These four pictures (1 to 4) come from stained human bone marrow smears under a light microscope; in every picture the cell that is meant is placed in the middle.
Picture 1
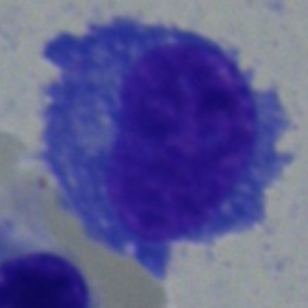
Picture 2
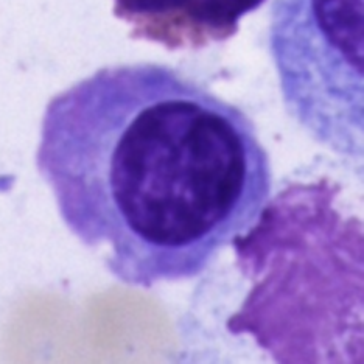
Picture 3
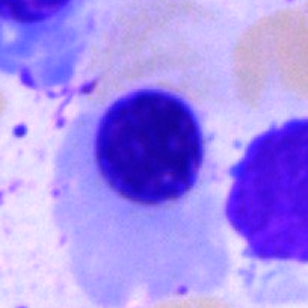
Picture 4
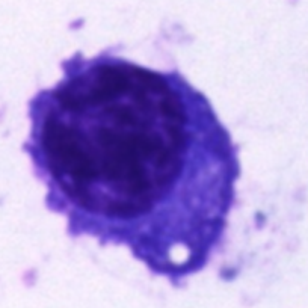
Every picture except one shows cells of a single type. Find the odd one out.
3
